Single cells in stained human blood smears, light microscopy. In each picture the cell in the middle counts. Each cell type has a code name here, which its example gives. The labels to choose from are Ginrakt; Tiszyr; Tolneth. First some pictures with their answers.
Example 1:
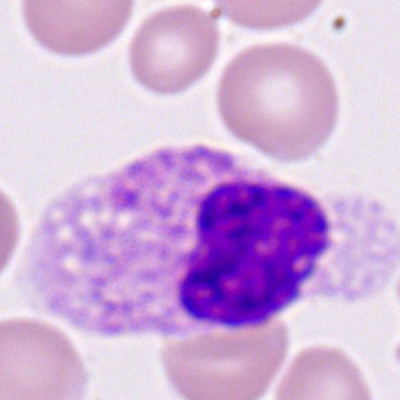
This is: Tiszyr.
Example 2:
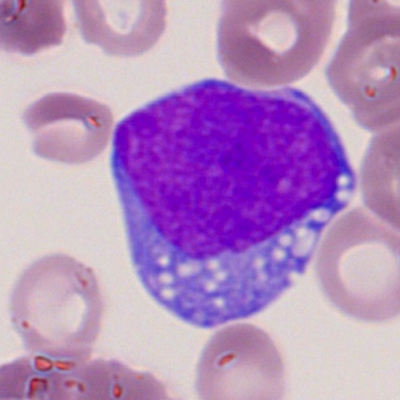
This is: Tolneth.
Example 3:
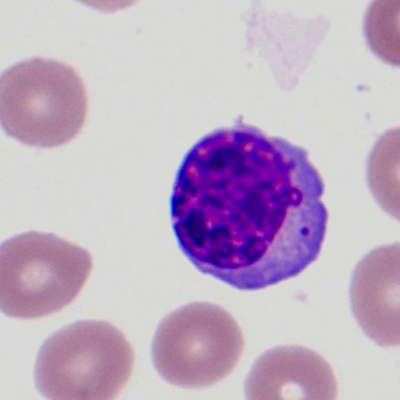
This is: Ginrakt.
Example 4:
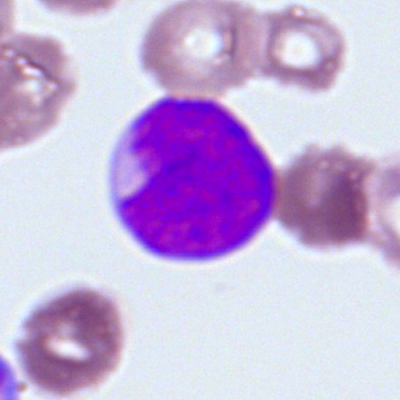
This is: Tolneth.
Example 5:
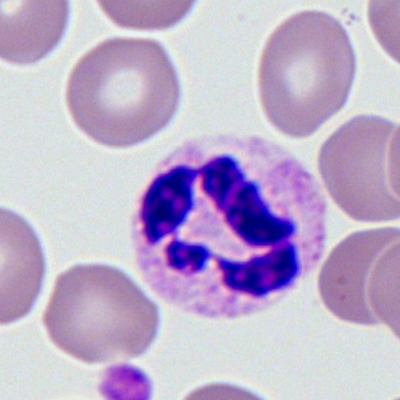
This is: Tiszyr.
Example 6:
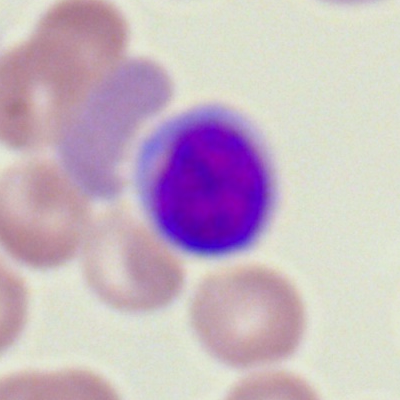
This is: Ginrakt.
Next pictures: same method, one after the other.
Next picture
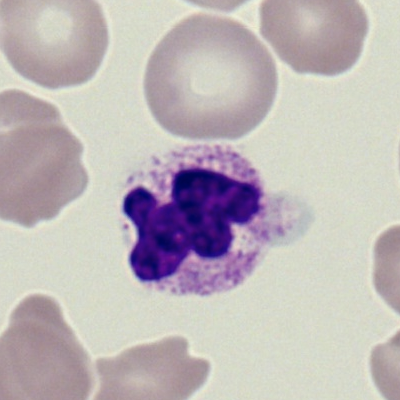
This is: Tiszyr.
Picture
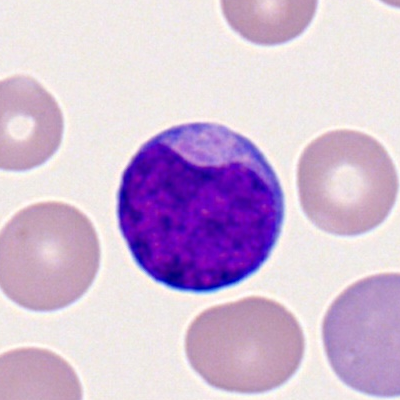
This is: Tolneth.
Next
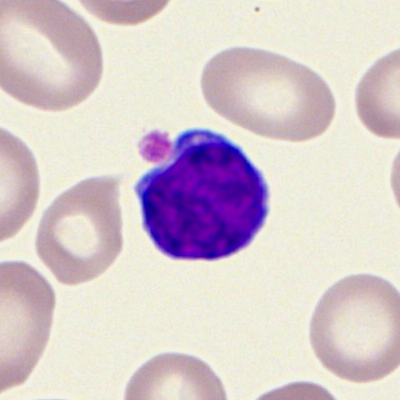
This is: Ginrakt.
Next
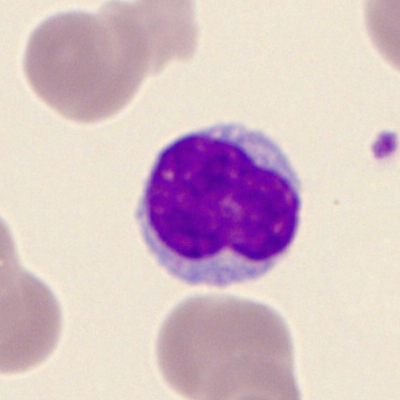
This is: Ginrakt.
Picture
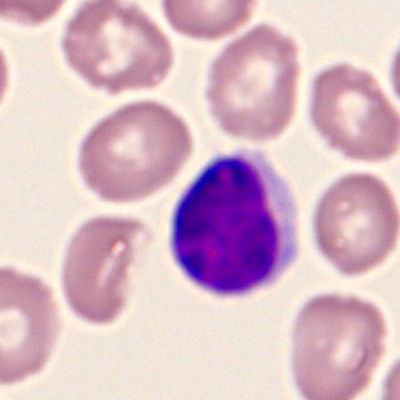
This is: Ginrakt.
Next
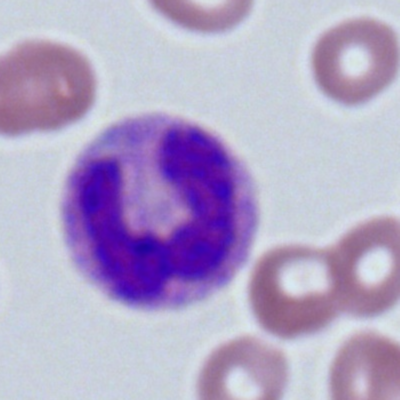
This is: Tiszyr.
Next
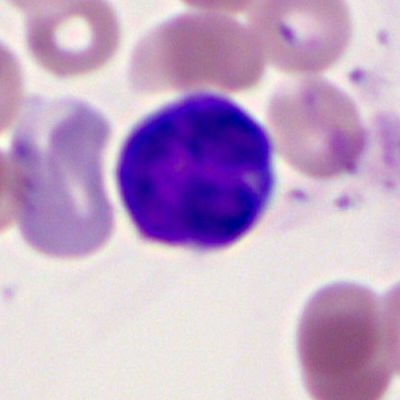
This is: Tolneth.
